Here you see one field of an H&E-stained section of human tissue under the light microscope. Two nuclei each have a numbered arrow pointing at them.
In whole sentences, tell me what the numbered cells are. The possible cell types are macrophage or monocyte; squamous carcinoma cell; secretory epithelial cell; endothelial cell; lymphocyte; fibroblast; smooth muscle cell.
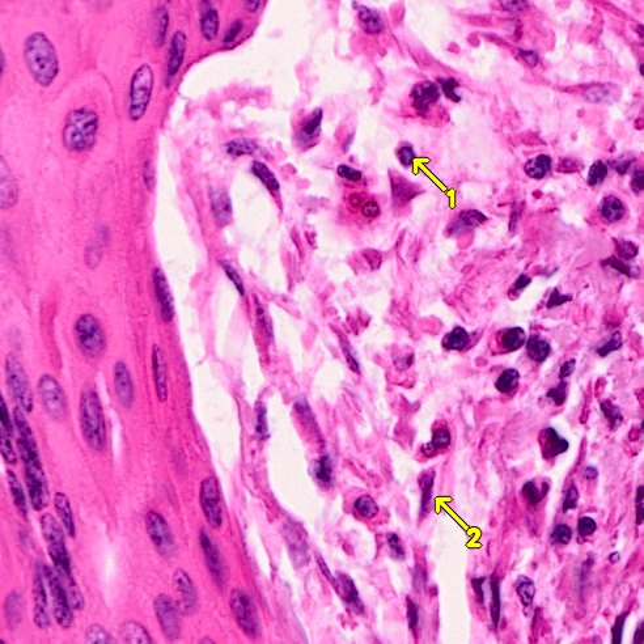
Cell 1 is a lymphocyte. Cell 2 is a fibroblast.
